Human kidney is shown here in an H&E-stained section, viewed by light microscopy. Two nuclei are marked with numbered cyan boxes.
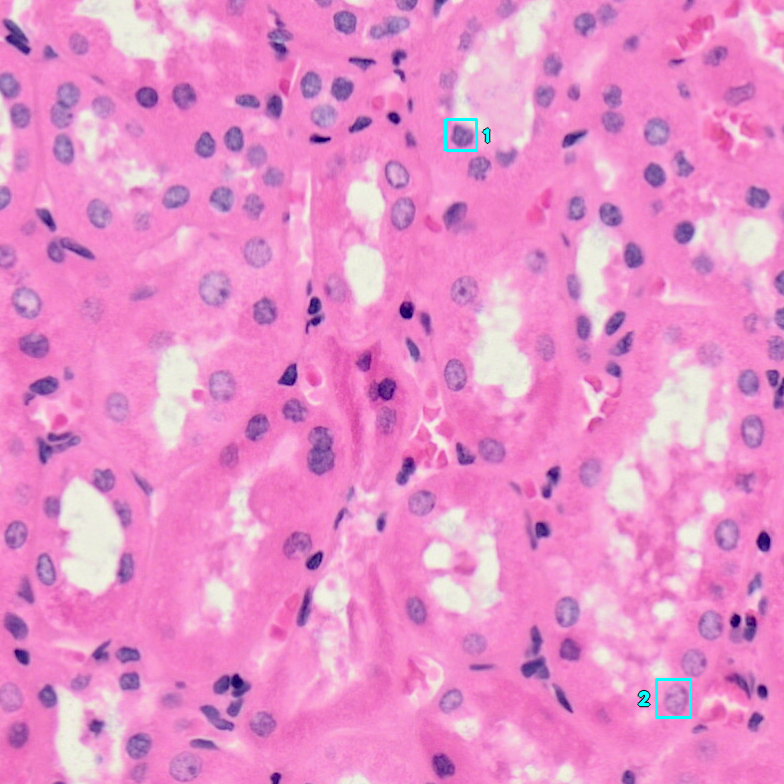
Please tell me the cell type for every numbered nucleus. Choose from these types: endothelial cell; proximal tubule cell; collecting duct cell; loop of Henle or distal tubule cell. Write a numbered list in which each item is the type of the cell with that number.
1. loop of Henle or distal tubule cell
2. proximal tubule cell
